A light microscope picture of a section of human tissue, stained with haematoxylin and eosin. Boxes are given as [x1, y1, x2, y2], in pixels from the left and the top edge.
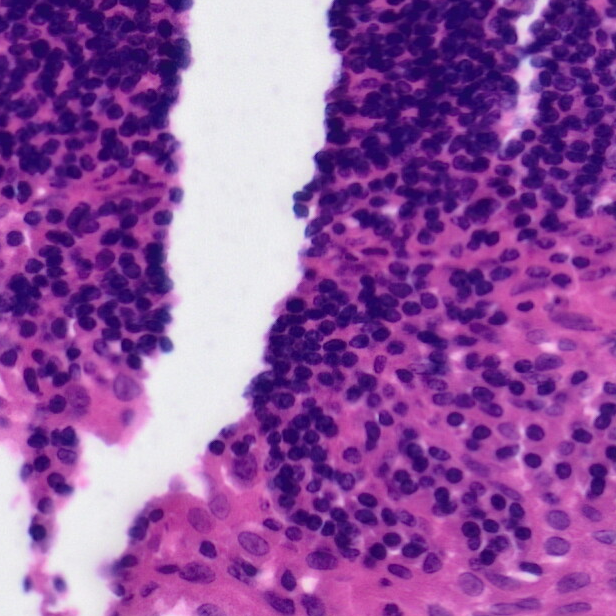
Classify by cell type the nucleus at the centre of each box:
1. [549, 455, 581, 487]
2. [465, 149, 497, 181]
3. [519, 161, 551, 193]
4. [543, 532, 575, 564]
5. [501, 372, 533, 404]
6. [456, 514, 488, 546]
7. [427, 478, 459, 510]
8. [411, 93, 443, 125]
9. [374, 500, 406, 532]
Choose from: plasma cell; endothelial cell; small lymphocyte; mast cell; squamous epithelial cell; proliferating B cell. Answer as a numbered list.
1. plasma cell
2. small lymphocyte
3. small lymphocyte
4. squamous epithelial cell
5. plasma cell
6. plasma cell
7. plasma cell
8. small lymphocyte
9. plasma cell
